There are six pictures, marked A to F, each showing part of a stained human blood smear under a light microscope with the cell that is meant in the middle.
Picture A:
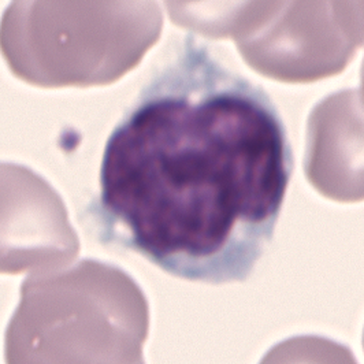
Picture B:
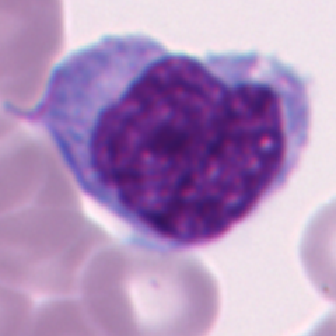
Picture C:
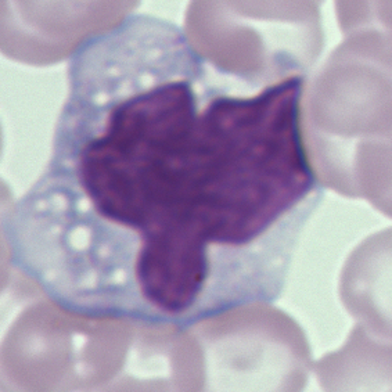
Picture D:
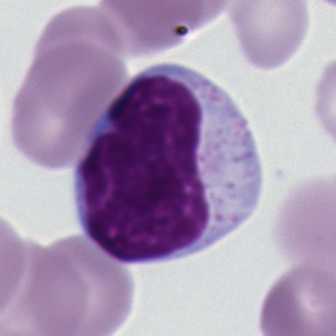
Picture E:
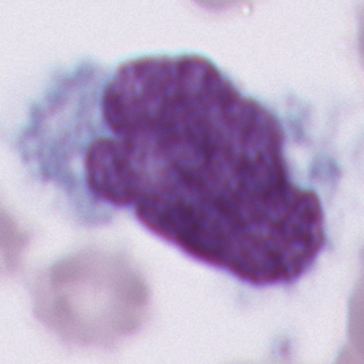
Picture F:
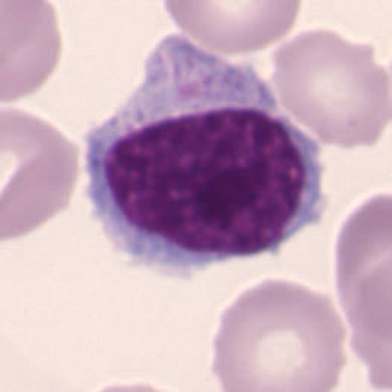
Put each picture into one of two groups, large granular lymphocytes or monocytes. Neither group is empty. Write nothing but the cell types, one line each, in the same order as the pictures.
monocyte
monocyte
monocyte
large granular lymphocyte
monocyte
large granular lymphocyte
